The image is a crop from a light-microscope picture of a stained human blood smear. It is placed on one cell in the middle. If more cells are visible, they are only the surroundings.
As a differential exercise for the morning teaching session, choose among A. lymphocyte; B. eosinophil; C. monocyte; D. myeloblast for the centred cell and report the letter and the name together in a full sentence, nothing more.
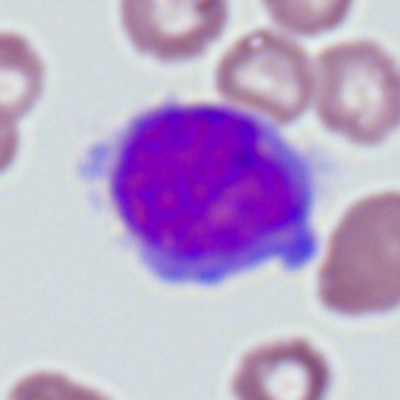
The central cell is a monocyte, which makes option C the right answer.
